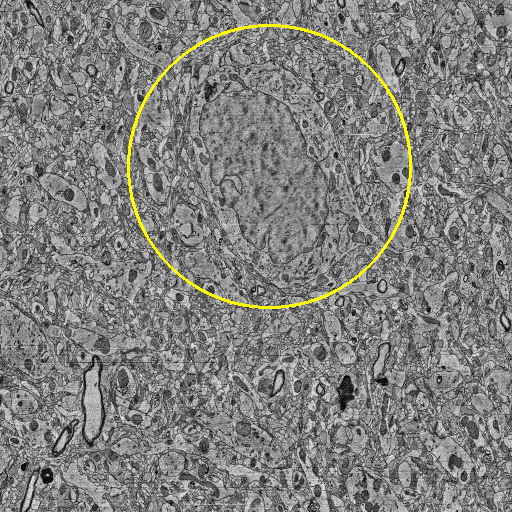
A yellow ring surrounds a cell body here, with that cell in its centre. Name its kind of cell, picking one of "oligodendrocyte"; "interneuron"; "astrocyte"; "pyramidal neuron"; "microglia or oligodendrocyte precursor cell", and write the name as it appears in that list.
interneuron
